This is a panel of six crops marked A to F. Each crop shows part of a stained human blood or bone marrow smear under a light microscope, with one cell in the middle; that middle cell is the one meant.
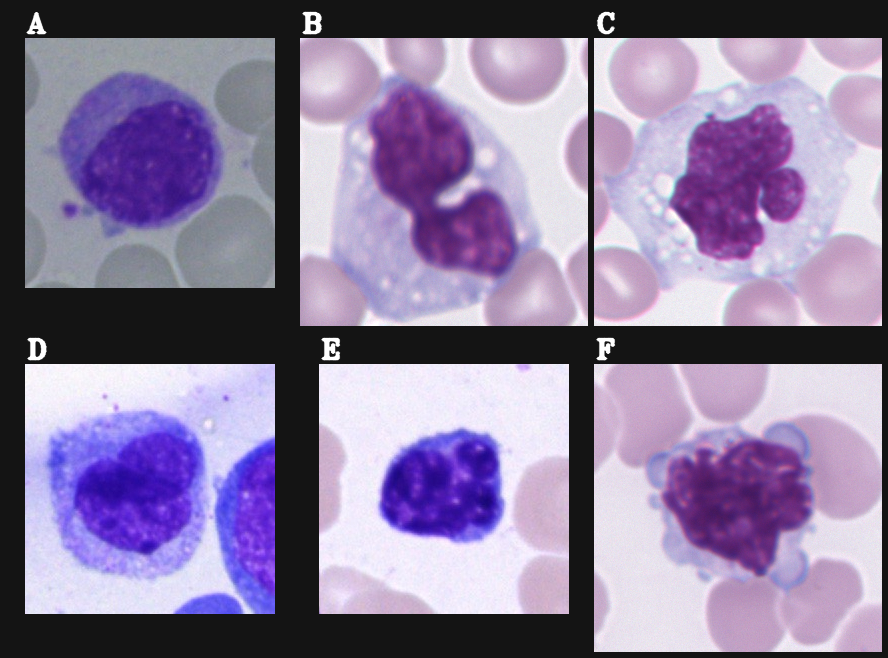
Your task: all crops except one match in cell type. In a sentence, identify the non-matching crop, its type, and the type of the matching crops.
The cells centred in the other crops are all monocytes, but crop E is a lymphocyte.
